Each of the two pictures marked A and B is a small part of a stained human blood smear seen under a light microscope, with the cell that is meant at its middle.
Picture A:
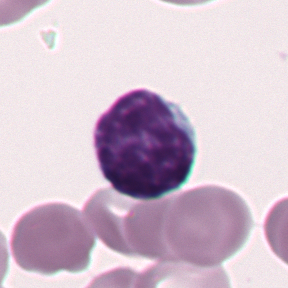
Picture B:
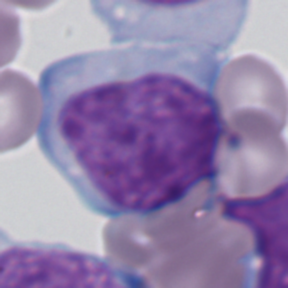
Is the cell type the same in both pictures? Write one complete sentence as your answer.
No, the types are not the same, since picture A shows a typical lymphocyte and picture B a myeloblast.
